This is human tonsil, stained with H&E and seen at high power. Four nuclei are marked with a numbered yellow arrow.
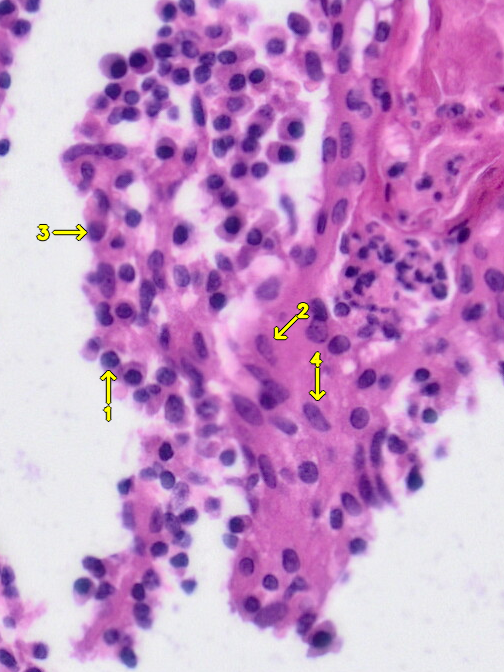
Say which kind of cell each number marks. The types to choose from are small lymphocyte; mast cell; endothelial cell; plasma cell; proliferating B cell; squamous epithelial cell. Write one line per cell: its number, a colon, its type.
1: plasma cell
2: squamous epithelial cell
3: squamous epithelial cell
4: squamous epithelial cell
